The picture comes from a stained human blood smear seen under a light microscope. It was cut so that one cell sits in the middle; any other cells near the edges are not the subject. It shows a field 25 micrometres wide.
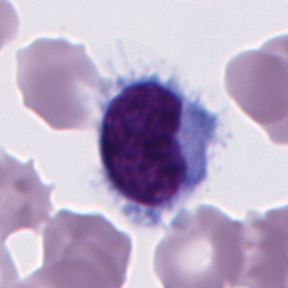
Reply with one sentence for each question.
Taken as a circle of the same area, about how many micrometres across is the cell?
Taken as a circle, the cell has a diameter of about 11 micrometres.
